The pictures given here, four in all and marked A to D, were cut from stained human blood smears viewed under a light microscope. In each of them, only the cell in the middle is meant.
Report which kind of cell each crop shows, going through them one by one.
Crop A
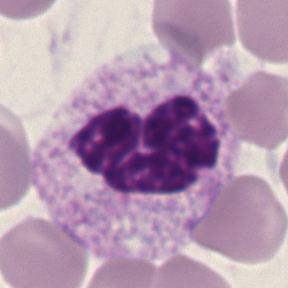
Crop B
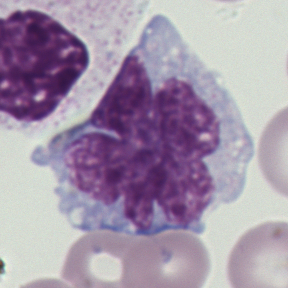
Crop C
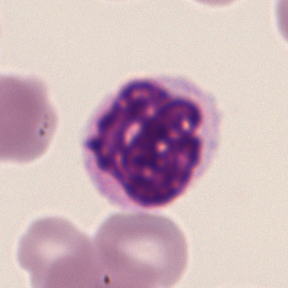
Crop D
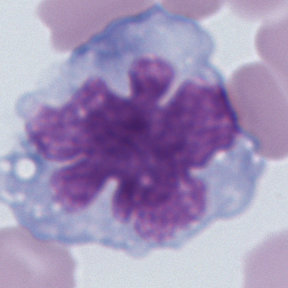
A: segmented neutrophil
B: monocyte
C: segmented neutrophil
D: monocyte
